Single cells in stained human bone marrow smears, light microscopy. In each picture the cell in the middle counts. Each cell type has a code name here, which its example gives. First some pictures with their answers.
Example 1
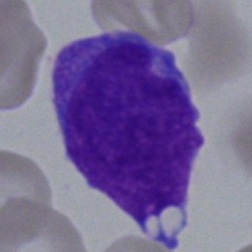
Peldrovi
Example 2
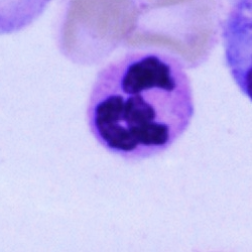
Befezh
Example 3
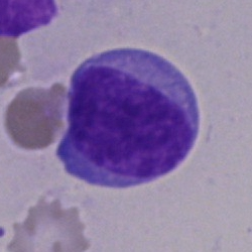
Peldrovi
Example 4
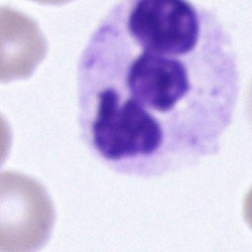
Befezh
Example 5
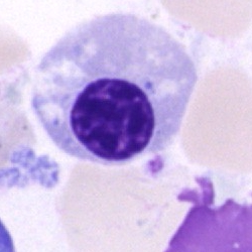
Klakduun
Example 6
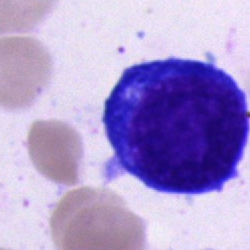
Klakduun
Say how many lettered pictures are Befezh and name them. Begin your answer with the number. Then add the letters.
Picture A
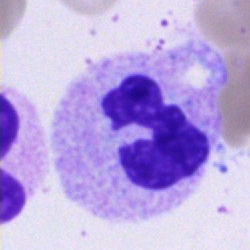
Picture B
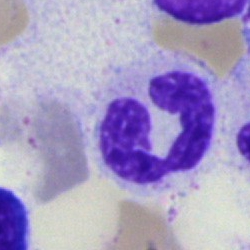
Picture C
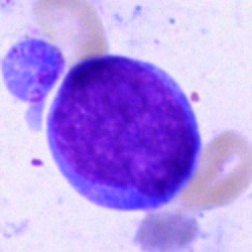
2, namely A, B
